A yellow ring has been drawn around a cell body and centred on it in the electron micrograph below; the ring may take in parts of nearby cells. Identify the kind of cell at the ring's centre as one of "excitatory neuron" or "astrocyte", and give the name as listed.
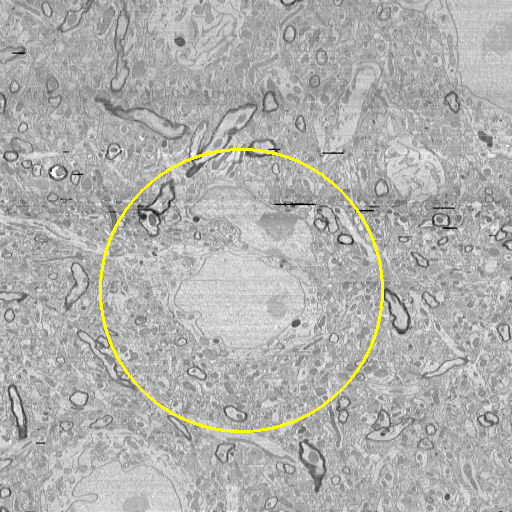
excitatory neuron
